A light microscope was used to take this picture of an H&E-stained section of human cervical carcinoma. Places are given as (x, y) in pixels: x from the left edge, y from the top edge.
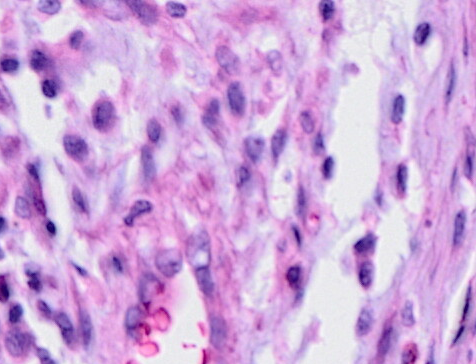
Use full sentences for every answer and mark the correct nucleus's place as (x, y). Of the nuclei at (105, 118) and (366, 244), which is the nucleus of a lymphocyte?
The correct choice is the nucleus at (366, 244), which belongs to a lymphocyte.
